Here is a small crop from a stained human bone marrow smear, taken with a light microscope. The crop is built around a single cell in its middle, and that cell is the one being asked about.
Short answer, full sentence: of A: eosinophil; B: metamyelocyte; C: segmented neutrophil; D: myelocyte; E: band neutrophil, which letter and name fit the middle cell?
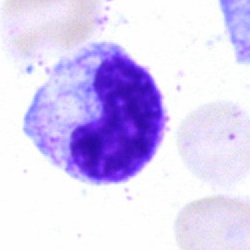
Here the central cell is a band neutrophil, and option E is correct.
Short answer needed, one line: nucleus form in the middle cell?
The nuclear material is gathered into one compact round, oval or kidney-shaped mass.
